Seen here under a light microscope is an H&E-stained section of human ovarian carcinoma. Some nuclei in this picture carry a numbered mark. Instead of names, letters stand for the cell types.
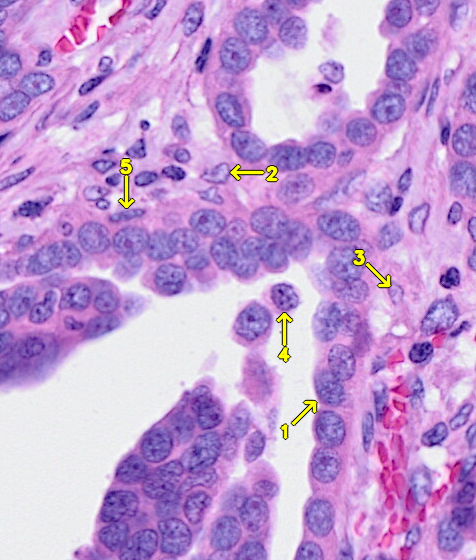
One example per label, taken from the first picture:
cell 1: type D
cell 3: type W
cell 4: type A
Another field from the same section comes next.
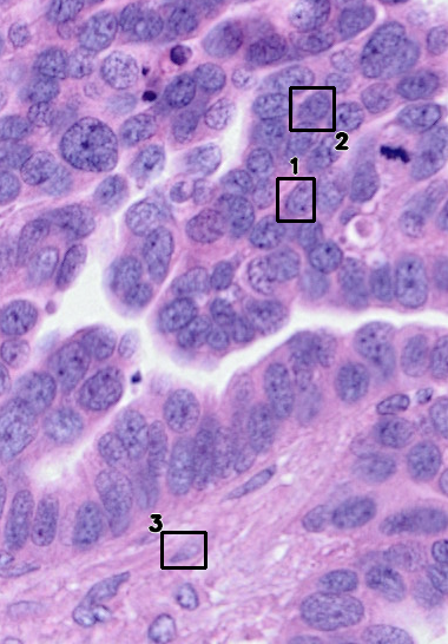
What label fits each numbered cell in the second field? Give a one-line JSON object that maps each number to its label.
{"1": "type D", "2": "type D", "3": "type W"}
